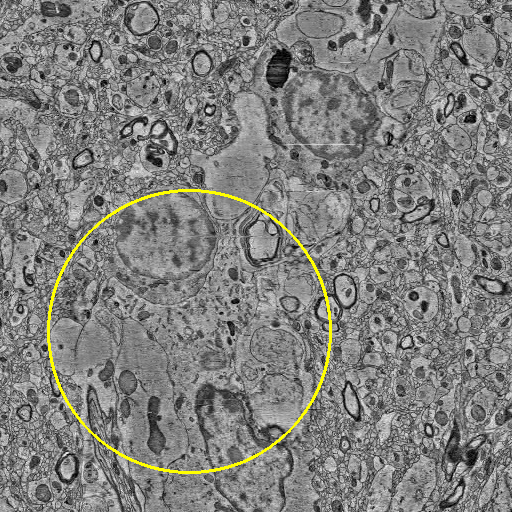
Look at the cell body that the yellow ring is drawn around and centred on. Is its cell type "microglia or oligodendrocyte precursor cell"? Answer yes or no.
yes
